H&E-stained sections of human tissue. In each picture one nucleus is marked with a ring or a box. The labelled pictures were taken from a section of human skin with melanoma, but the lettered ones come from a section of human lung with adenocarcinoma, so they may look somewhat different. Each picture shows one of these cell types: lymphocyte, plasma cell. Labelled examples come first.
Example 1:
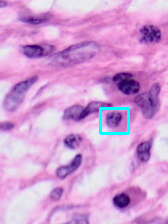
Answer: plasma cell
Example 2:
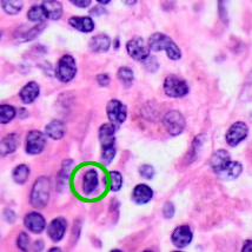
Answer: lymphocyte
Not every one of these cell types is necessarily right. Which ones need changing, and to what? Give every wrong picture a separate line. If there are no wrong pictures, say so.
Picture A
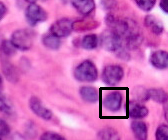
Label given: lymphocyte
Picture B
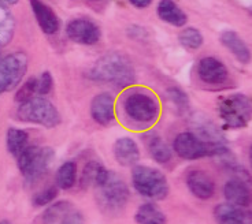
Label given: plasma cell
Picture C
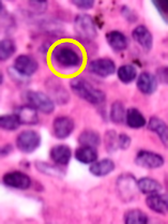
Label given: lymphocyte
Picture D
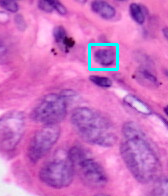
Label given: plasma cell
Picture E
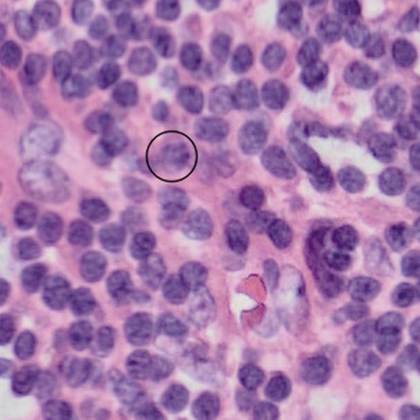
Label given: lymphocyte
C is labelled lymphocyte; correct label: plasma cell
